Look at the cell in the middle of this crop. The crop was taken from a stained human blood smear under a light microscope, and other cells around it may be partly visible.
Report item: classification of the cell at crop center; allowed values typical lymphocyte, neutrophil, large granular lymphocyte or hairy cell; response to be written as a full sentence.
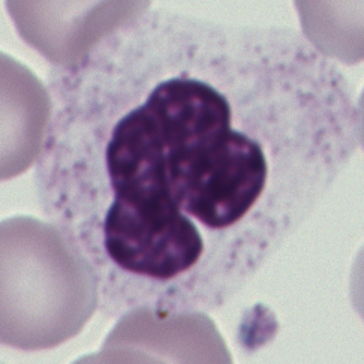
The cell the crop is centered on is a neutrophil.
